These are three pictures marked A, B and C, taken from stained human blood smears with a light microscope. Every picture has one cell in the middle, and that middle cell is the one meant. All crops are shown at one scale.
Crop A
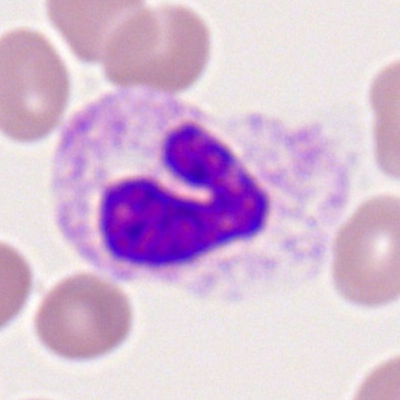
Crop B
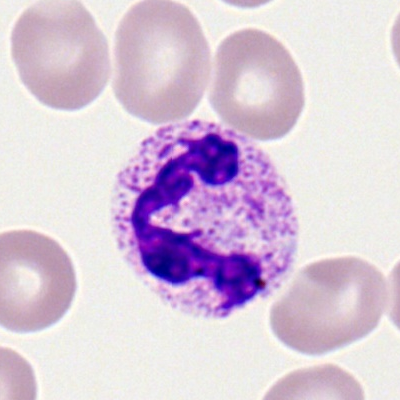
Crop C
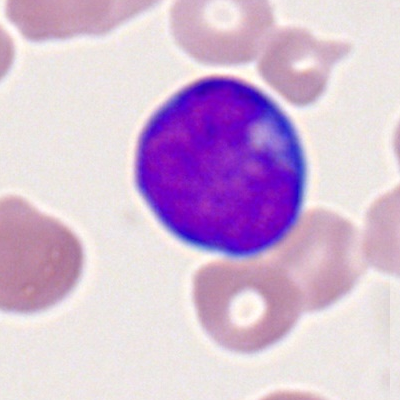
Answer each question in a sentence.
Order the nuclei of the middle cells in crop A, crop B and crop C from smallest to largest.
From the smallest up, the order is B, A, C.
